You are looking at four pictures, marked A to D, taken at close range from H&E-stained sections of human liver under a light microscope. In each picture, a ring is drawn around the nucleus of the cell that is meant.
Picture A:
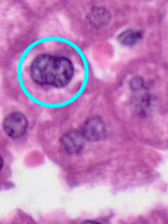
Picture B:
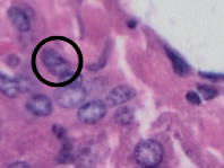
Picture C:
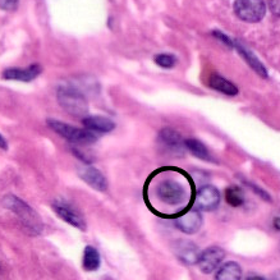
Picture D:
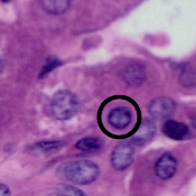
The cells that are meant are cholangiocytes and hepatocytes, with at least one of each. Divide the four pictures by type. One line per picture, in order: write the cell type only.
hepatocyte
cholangiocyte
cholangiocyte
cholangiocyte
